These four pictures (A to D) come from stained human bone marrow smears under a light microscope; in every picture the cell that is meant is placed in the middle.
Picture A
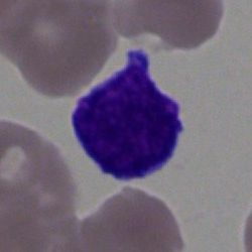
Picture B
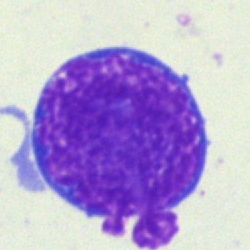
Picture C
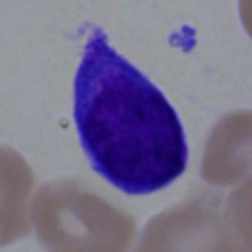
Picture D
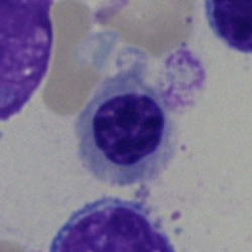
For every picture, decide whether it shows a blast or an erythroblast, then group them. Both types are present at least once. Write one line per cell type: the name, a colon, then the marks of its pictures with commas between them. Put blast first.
blast: A, B, C
erythroblast: D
